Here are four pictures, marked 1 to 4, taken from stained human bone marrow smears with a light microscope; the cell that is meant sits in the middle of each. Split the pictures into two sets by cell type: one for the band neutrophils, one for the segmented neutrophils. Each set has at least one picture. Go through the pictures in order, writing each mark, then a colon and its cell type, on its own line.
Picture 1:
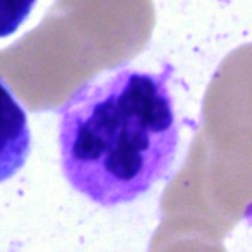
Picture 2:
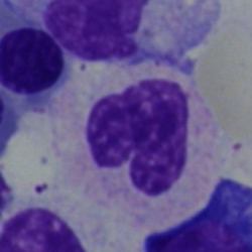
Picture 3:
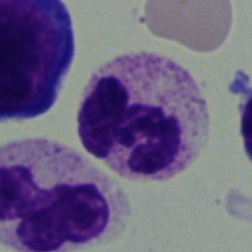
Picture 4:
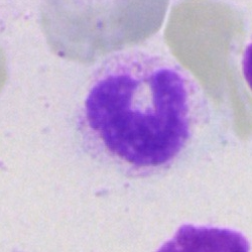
1: segmented neutrophil
2: band neutrophil
3: segmented neutrophil
4: segmented neutrophil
